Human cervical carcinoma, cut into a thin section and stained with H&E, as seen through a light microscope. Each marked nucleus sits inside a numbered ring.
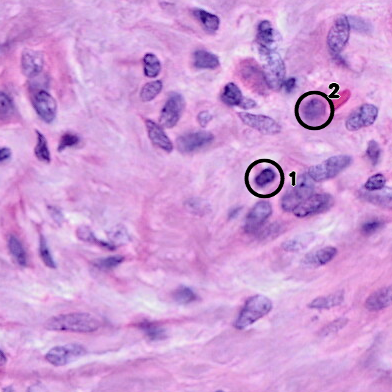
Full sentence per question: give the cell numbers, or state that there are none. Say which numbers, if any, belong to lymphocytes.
With the exception of cell 1, no marked cell is a lymphocyte.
